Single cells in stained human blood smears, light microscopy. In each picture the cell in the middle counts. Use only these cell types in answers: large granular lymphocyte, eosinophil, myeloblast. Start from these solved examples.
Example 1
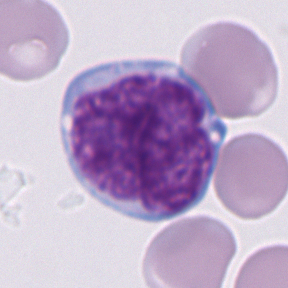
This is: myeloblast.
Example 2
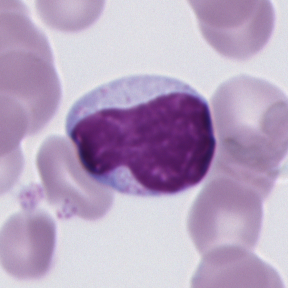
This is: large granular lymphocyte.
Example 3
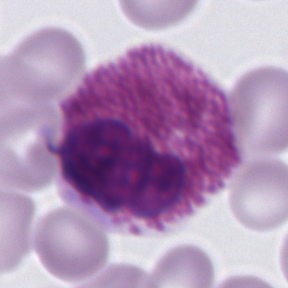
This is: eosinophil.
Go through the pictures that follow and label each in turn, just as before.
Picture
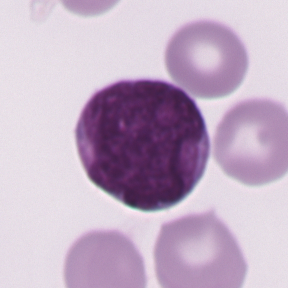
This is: myeloblast.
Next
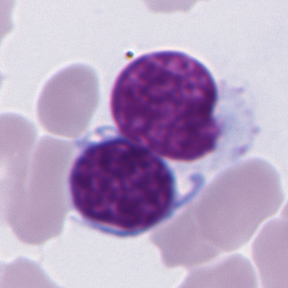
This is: myeloblast.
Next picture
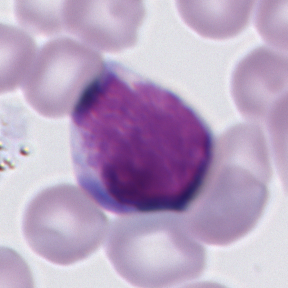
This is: large granular lymphocyte.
